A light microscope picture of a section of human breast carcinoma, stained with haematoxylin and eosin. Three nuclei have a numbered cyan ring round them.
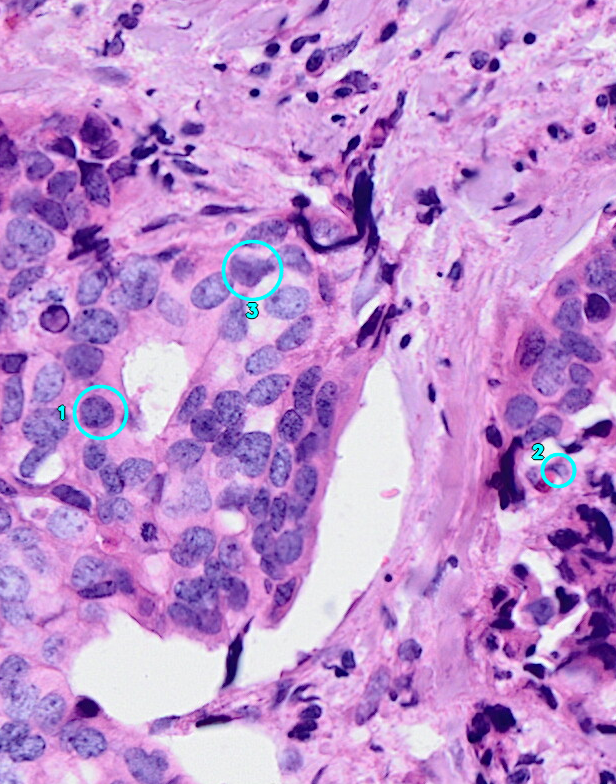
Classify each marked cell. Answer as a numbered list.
1. carcinoma cell
2. endothelial cell
3. carcinoma cell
